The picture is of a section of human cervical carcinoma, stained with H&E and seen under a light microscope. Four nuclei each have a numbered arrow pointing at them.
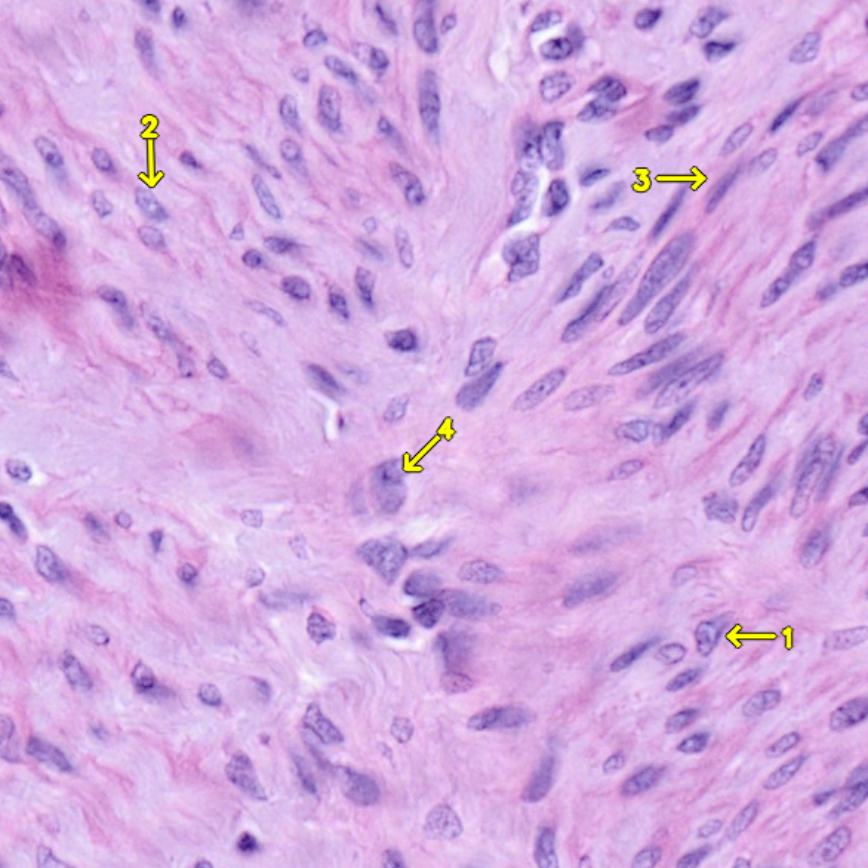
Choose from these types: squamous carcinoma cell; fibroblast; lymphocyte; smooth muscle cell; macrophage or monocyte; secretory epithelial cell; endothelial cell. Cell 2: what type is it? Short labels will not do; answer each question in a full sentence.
The nucleus labeled 2 belongs to a smooth muscle cell.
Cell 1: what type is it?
The correct label for cell 1 is a smooth muscle cell.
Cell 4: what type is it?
Cell 4 in the field is a fibroblast.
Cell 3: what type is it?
Cell 3 of the marked set is a smooth muscle cell.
